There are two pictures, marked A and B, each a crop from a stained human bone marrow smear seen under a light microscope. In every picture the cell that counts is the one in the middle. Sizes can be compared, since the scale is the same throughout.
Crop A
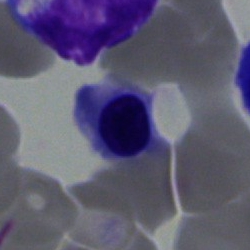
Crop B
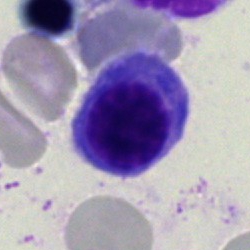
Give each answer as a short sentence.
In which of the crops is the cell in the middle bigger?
Crop B holds the larger cell; it covers about 2 times the area of the cell in crop A.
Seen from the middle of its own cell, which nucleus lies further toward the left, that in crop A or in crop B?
The nucleus in crop B lies further toward the left of its cell.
